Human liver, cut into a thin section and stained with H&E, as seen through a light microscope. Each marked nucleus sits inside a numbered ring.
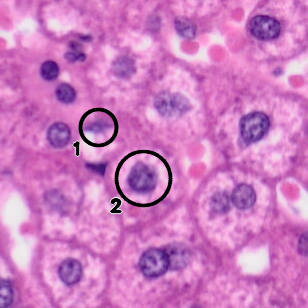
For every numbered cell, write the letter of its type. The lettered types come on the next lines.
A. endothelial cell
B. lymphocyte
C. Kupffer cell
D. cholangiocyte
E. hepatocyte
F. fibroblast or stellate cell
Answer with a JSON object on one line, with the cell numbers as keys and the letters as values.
{"1": "A", "2": "E"}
